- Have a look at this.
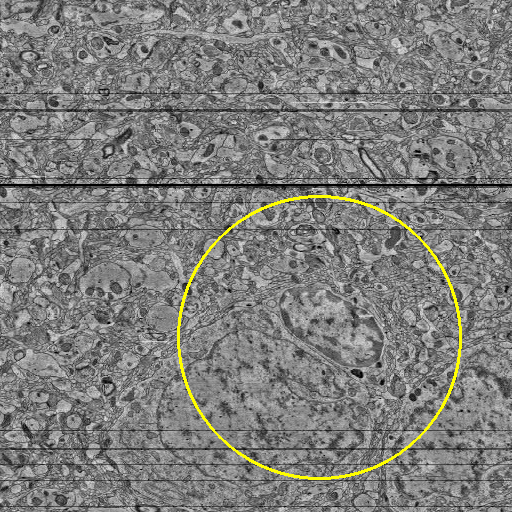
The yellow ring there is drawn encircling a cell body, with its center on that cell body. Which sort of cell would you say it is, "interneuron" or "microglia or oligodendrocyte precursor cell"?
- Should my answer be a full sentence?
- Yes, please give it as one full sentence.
For this picture, a microglial cell or oligodendrocyte precursor cell is the cell where the yellow ring has its center.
